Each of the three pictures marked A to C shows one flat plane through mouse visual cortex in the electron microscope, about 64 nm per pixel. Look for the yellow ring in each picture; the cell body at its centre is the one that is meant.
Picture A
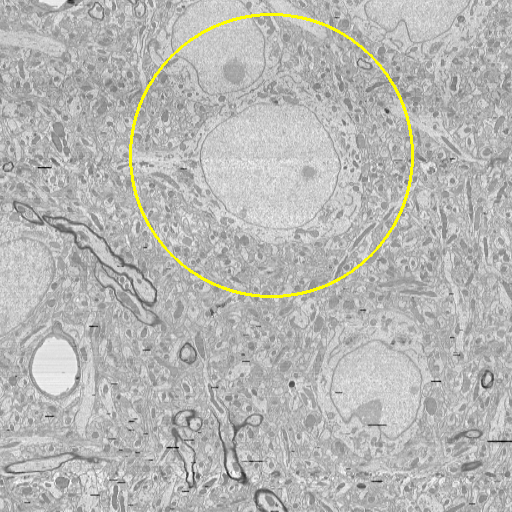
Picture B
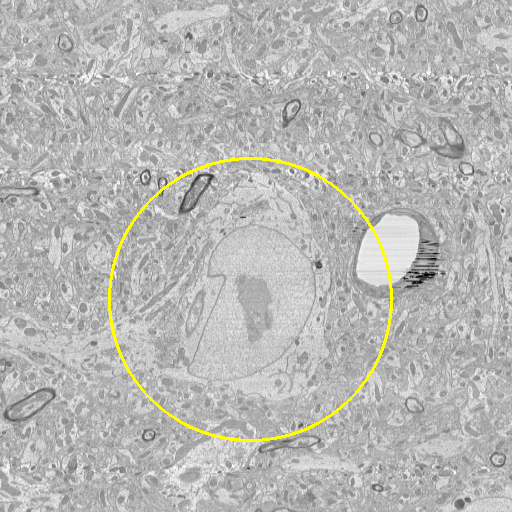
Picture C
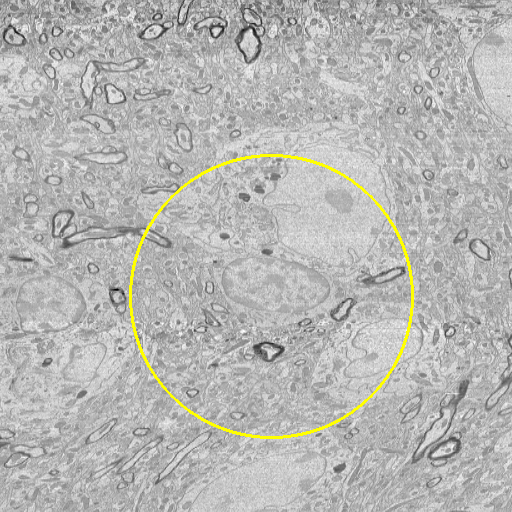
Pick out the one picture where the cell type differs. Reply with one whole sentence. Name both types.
The different one is picture C; it shows an oligodendrocyte, whereas all the others show excitatory neurons.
